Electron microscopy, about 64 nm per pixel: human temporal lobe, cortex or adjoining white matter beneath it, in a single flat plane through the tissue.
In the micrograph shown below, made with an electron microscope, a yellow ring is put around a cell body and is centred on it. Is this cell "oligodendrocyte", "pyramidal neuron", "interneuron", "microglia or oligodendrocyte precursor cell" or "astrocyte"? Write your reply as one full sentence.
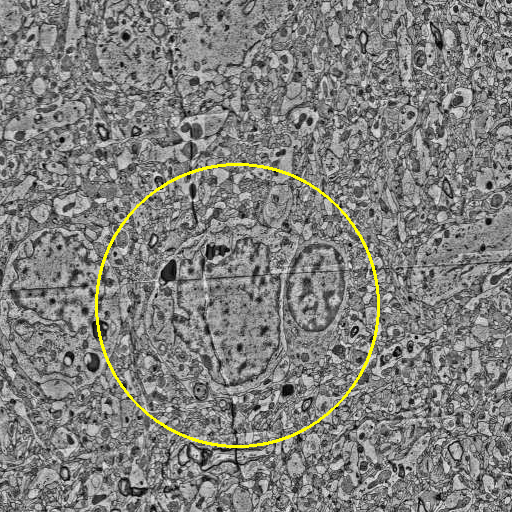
In the micrograph, an interneuron is the cell at the centre of the yellow ring.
